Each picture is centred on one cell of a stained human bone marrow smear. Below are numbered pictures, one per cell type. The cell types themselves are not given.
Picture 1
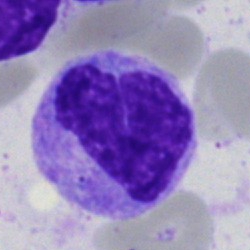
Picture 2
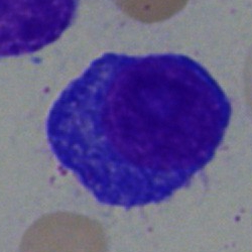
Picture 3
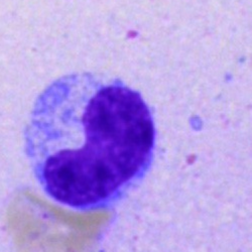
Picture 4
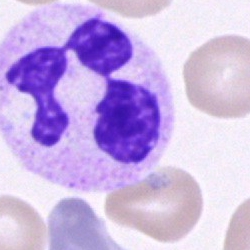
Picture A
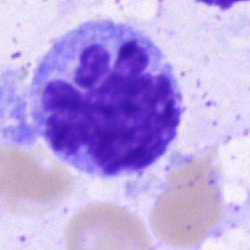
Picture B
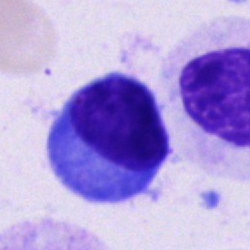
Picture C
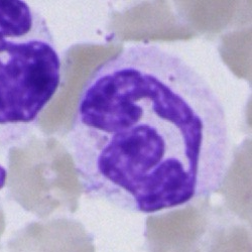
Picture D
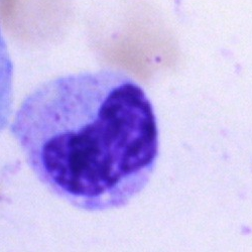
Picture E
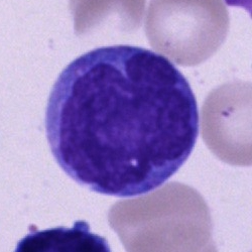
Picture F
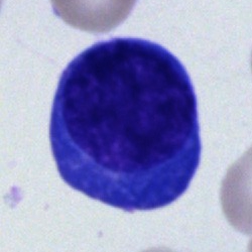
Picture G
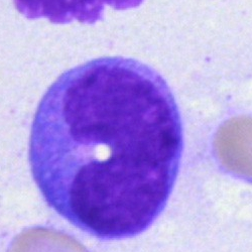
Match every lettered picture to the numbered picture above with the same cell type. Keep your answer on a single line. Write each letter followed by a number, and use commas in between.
A 1, B 2, C 4, D 3, E 1, F 2, G 1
